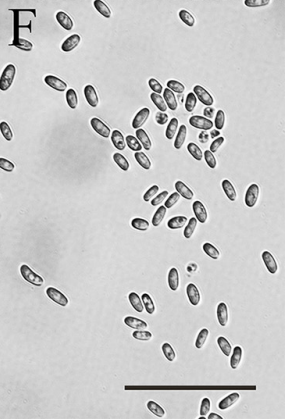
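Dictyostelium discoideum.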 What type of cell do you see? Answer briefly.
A: Spores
